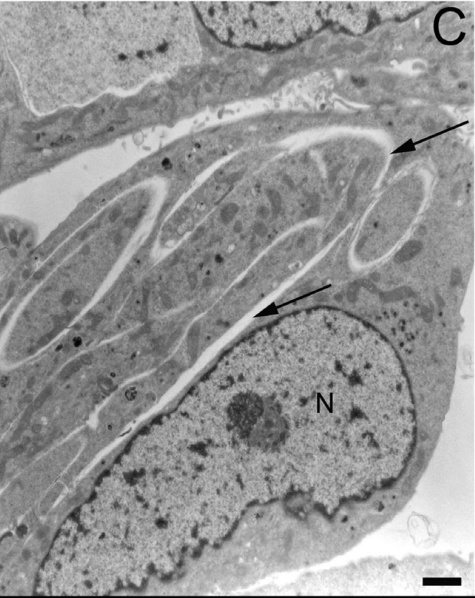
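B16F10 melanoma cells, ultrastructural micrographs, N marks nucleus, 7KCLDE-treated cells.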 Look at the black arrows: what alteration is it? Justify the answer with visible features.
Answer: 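Structural ruptures in the cytoplasm. Long clear clefts run through the cytoplasm. The clefts separate parts of the cytoplasm from each other. One cleft runs along the nuclear envelope.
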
